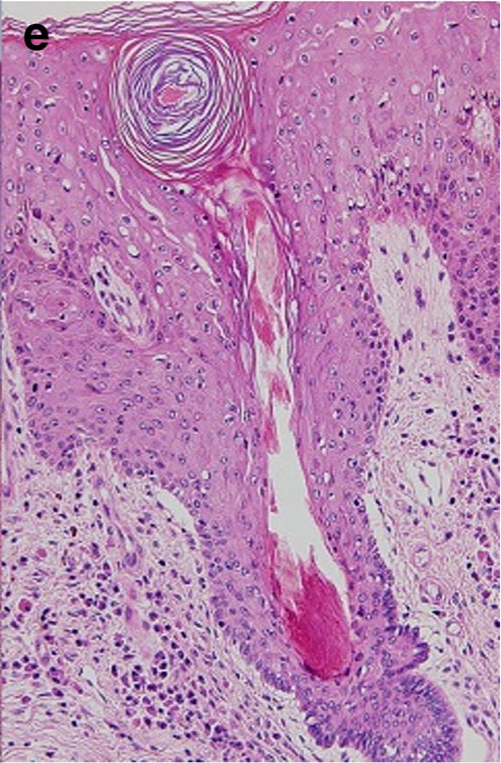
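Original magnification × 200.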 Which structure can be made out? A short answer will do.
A: hair follicle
